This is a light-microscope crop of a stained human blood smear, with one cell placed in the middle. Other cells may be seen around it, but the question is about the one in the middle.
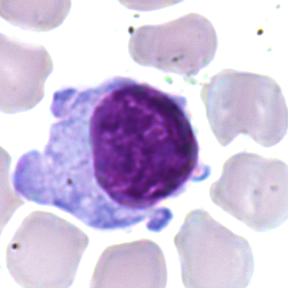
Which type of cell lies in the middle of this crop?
plasma cell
